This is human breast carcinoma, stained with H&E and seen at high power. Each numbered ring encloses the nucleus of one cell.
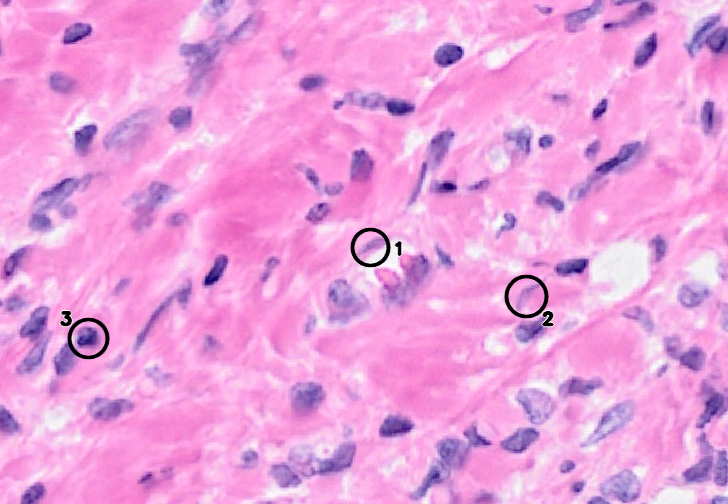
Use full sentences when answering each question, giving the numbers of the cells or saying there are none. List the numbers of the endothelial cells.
Only at number 1 is there an endothelial cell.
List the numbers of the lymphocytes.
Unlike the other numbered cells, cell 3 is a lymphocyte.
